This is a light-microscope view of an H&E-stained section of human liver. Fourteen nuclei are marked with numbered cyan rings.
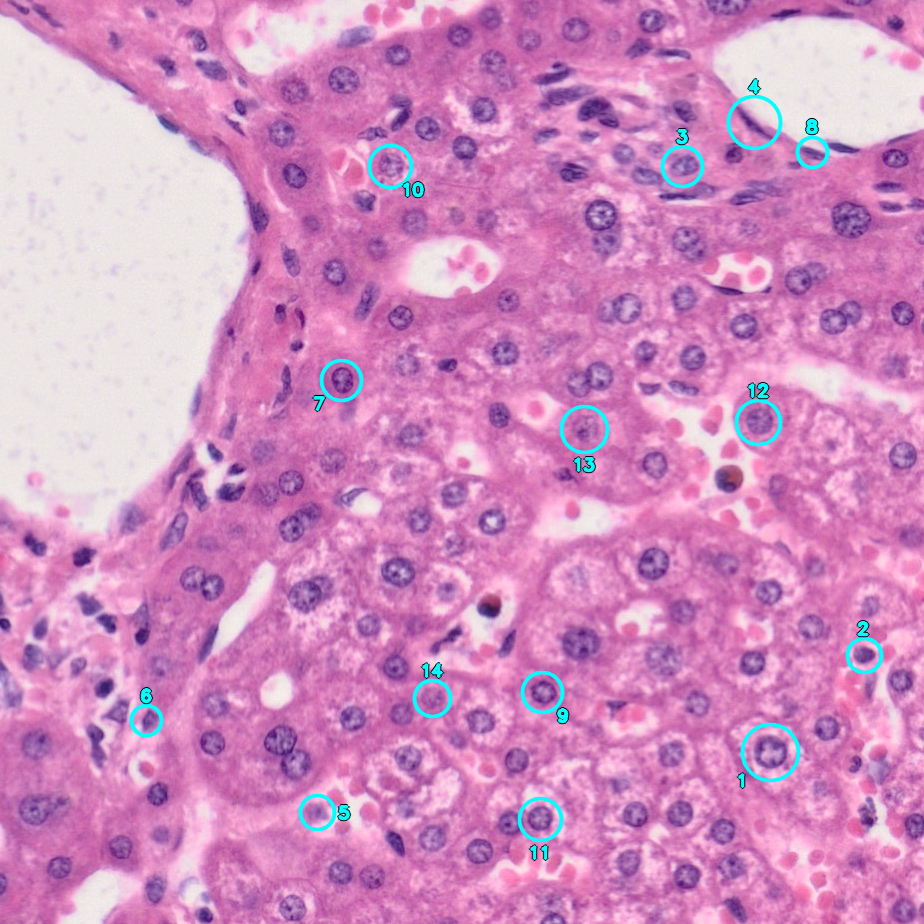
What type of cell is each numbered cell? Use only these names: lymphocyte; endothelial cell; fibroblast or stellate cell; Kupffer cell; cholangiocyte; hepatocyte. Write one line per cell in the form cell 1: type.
cell 1: hepatocyte
cell 2: lymphocyte
cell 3: cholangiocyte
cell 4: fibroblast or stellate cell
cell 5: Kupffer cell
cell 6: fibroblast or stellate cell
cell 7: hepatocyte
cell 8: fibroblast or stellate cell
cell 9: hepatocyte
cell 10: hepatocyte
cell 11: hepatocyte
cell 12: hepatocyte
cell 13: hepatocyte
cell 14: hepatocyte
